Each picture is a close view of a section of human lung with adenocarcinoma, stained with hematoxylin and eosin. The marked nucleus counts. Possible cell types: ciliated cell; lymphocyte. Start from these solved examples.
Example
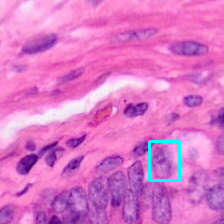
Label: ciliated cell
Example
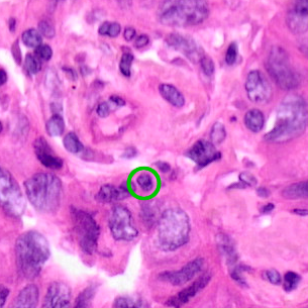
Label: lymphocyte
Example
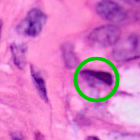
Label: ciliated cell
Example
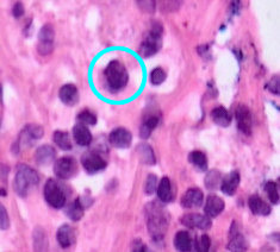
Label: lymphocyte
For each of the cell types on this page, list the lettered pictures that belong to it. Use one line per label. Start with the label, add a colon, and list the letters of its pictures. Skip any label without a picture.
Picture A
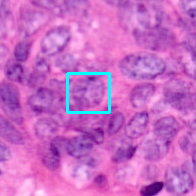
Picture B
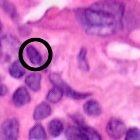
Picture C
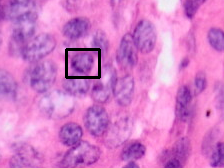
ciliated cell: A, C
lymphocyte: B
